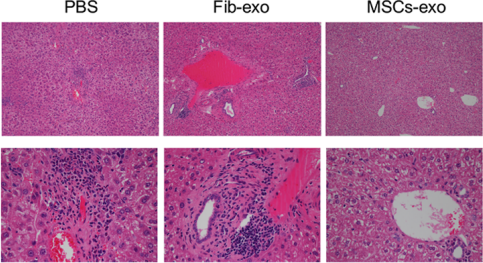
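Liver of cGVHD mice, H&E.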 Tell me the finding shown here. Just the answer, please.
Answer: inflammatory cell recruitment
